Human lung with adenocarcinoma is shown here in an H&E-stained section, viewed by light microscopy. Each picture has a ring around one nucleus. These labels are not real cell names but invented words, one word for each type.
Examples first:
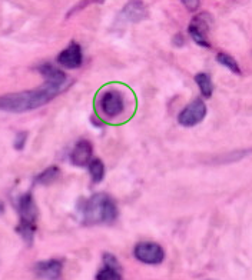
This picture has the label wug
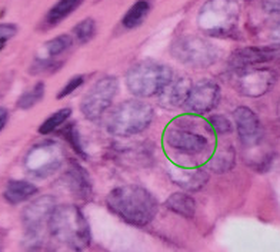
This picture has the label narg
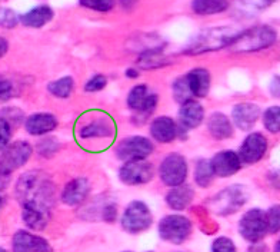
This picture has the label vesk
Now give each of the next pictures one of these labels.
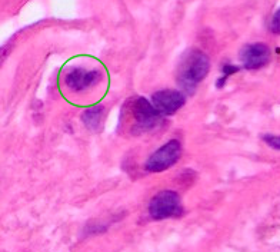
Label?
wug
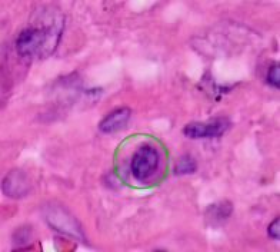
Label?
wug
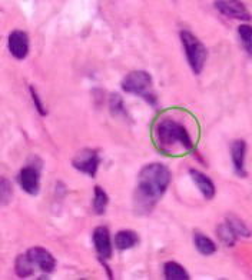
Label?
wug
